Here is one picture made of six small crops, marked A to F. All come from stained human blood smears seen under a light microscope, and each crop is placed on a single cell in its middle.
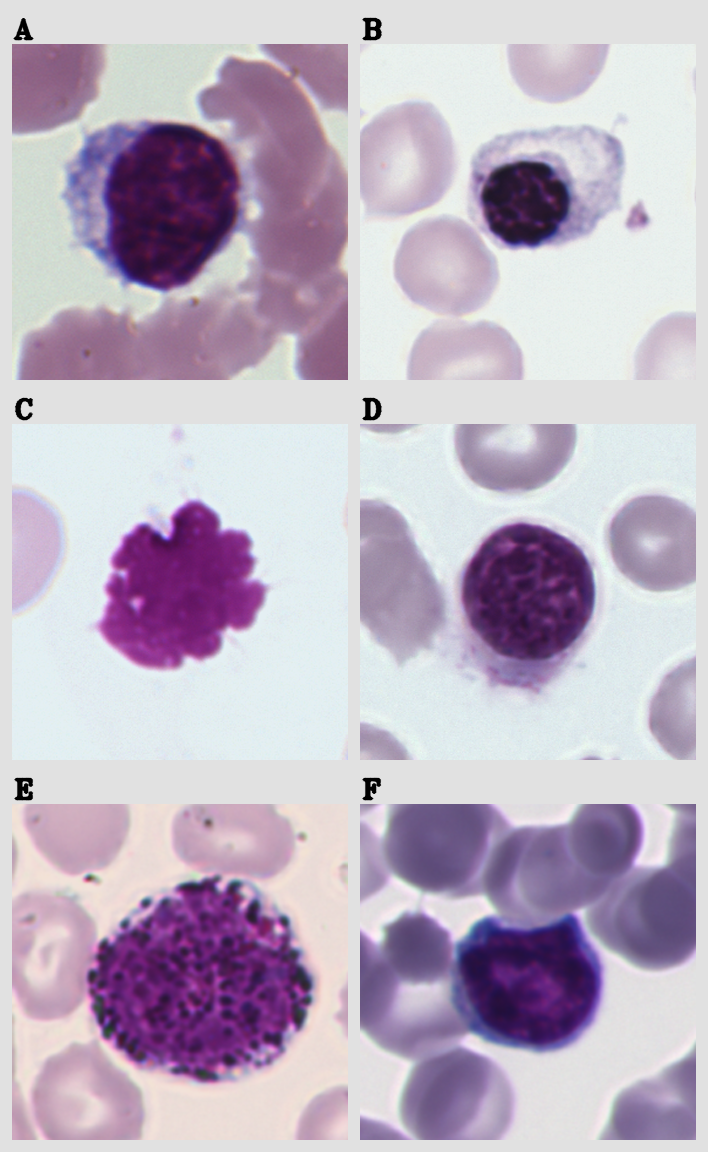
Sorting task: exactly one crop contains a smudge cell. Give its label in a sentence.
Among all the crops given here, the one with a smudge cell is crop C.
